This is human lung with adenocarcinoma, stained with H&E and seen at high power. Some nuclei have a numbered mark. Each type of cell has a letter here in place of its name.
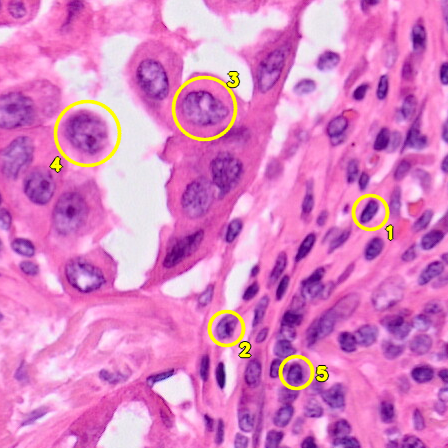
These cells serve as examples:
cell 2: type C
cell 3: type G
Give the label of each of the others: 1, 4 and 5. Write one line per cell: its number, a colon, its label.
1: type C
4: type G
5: type C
